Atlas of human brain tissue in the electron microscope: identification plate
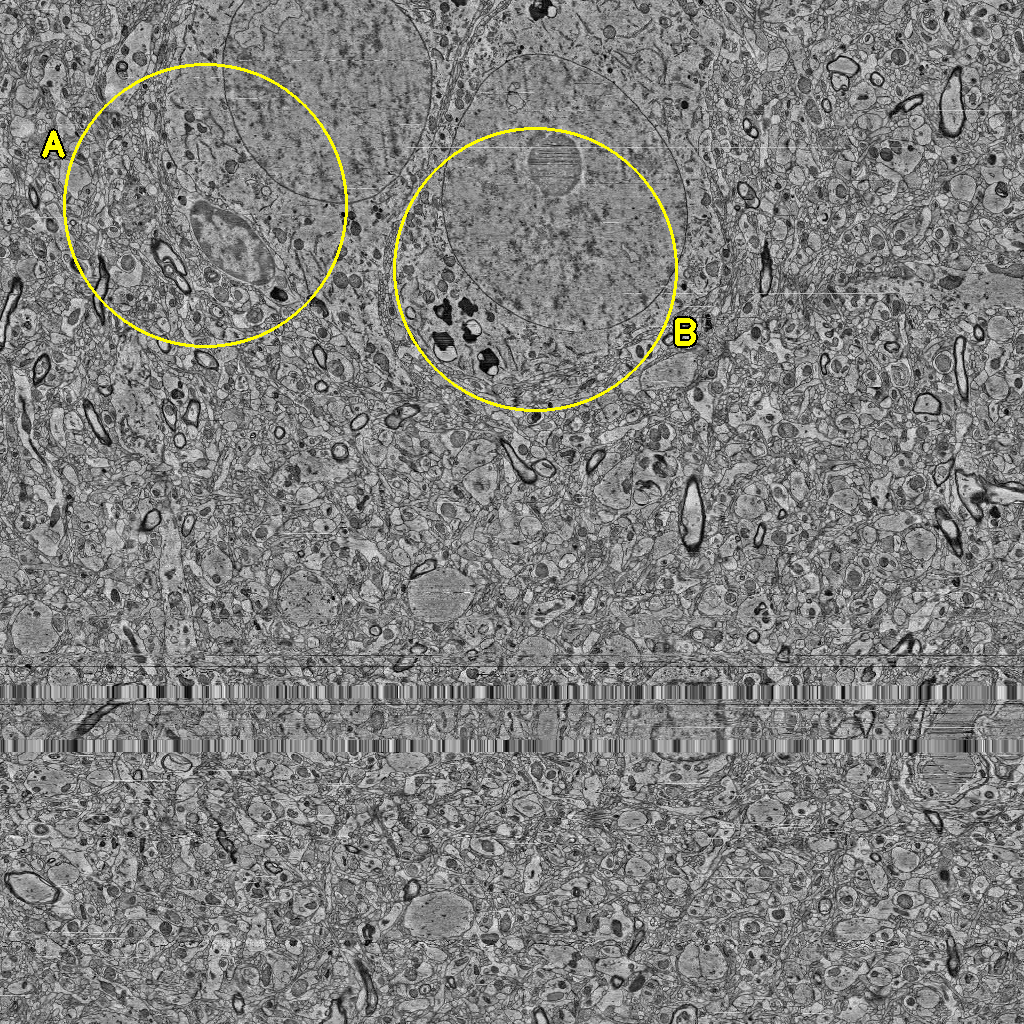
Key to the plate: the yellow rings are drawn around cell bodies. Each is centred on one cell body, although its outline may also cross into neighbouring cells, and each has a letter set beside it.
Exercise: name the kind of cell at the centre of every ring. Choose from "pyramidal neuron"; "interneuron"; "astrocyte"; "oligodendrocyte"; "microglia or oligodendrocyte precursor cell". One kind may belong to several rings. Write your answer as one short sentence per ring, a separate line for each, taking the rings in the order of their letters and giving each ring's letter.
The centre of ring A is occupied by a microglial cell or oligodendrocyte precursor cell.
The centre of ring B is occupied by a pyramidal neuron.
